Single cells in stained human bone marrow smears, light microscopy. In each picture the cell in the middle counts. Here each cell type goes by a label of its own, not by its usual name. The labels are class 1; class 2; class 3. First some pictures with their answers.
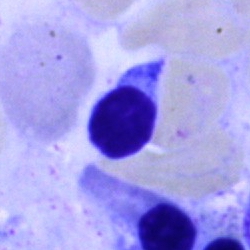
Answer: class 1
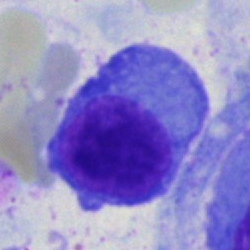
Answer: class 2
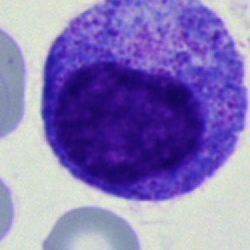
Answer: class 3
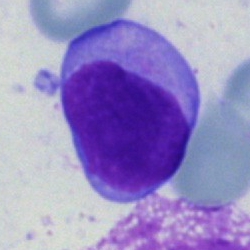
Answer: class 1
